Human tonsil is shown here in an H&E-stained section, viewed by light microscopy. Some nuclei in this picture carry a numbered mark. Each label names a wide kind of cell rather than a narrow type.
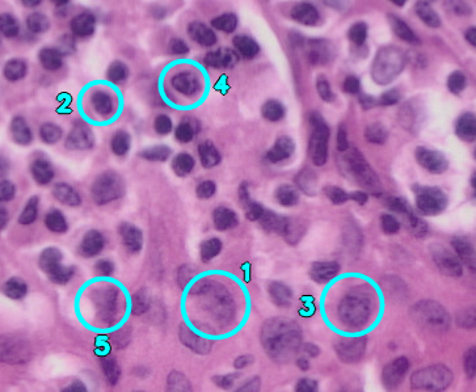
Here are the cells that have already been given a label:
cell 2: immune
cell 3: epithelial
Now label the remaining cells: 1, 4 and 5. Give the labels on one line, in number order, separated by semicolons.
epithelial; immune; epithelial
